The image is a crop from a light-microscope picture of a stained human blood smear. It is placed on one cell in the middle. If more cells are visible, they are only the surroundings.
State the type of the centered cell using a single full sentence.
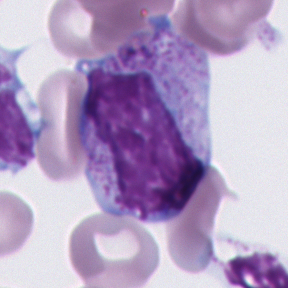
The cell in the middle of the field of view is a myelocyte.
